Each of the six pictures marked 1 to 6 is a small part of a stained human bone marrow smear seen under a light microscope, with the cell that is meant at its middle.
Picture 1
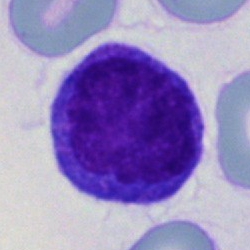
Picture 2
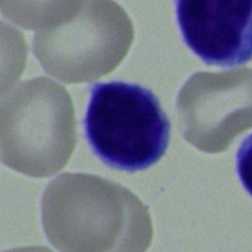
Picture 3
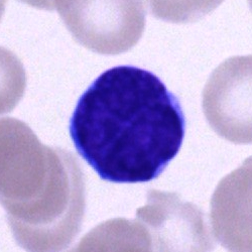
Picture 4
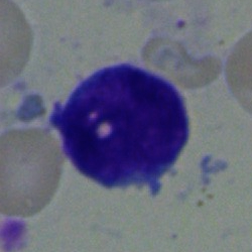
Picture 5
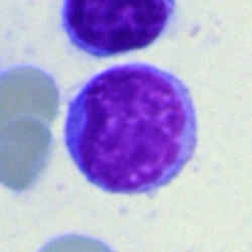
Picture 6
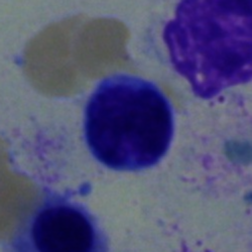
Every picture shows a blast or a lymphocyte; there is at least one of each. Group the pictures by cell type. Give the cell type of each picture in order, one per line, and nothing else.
blast
lymphocyte
lymphocyte
blast
lymphocyte
lymphocyte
